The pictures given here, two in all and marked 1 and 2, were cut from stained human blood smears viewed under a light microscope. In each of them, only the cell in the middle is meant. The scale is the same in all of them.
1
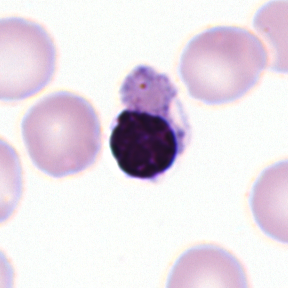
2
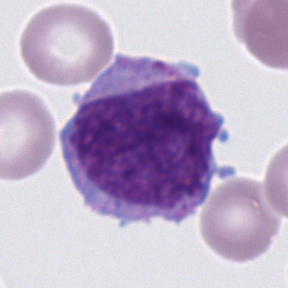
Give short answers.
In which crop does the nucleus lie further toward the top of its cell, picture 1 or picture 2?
2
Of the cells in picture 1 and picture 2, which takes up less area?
1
